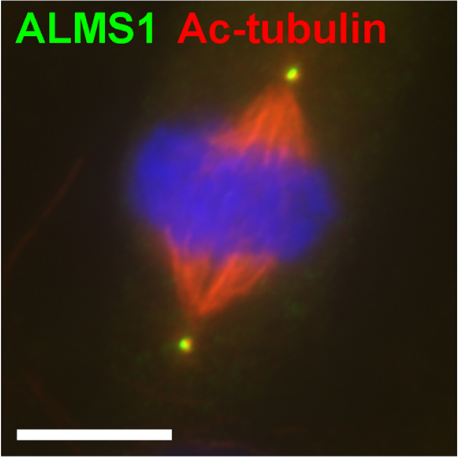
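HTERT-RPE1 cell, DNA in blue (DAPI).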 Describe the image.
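A cultured cell in mitosis, its blue chromosomes condensed into a compact mass across the middle of the cell. Red spindle microtubules fan out from two opposite poles toward the chromosomes, and a small green dot sits at the tip of each pole, marking the centrosomes.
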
